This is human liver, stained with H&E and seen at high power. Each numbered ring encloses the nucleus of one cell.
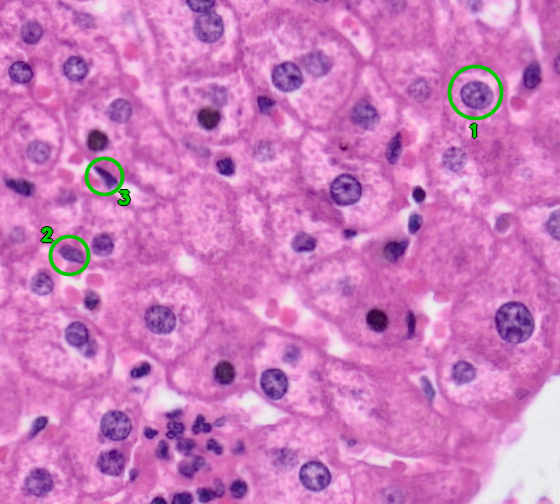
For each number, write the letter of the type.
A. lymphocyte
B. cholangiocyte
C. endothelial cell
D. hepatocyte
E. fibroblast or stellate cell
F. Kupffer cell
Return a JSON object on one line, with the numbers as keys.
{"1": "D", "2": "F", "3": "C"}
